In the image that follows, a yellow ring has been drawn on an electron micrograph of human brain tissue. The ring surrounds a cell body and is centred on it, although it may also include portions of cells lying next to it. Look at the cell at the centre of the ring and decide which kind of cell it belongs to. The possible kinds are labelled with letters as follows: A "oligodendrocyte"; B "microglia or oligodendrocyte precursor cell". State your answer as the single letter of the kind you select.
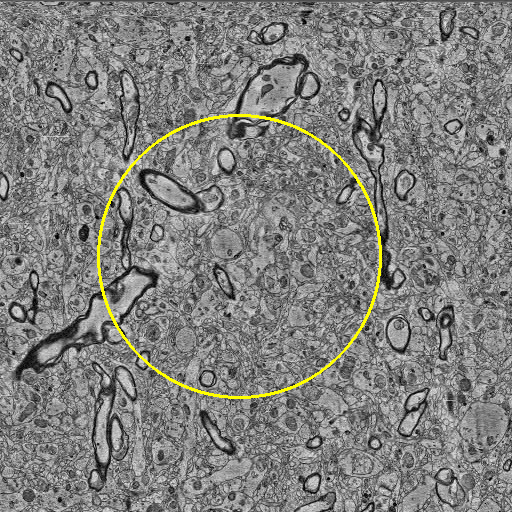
A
